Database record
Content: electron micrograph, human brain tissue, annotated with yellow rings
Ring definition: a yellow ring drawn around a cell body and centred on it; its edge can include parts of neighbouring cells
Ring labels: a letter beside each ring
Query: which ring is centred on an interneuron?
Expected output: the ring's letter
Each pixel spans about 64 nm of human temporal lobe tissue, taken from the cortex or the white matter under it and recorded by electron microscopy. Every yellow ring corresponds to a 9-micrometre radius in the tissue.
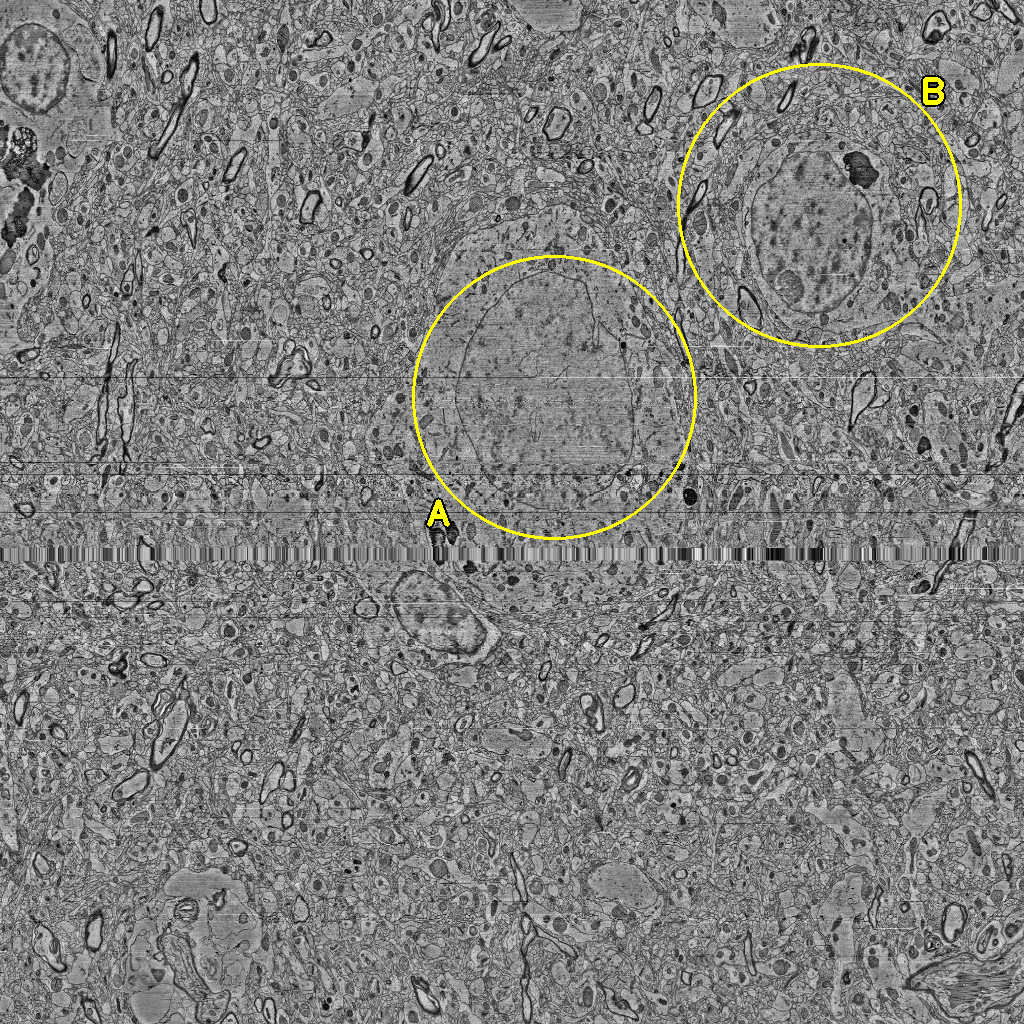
B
